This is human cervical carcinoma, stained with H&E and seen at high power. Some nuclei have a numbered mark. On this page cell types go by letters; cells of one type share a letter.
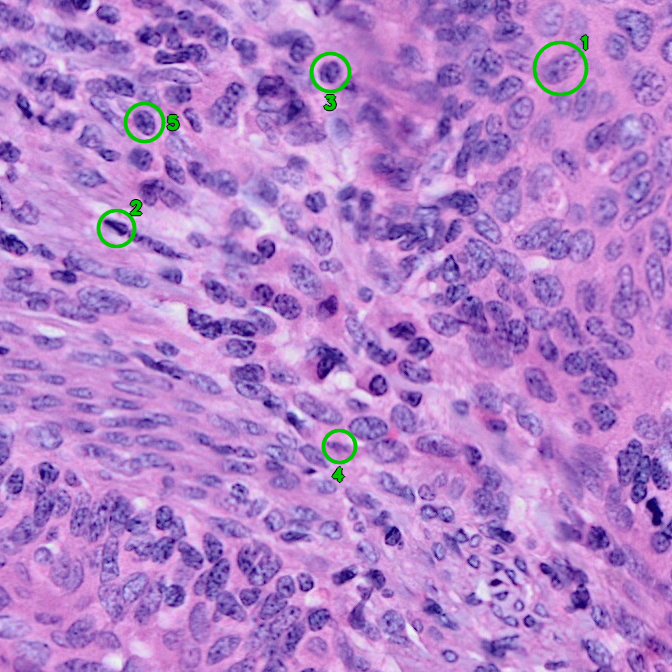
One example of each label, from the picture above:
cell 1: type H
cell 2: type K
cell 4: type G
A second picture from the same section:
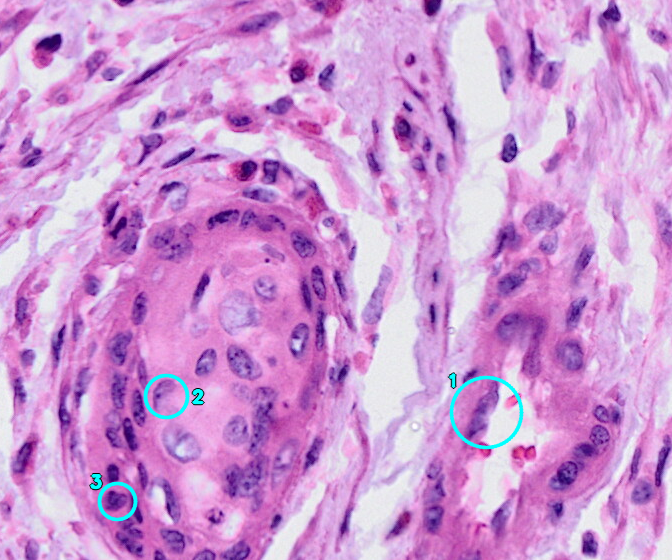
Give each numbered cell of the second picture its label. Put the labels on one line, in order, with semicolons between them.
type G; type H; type H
